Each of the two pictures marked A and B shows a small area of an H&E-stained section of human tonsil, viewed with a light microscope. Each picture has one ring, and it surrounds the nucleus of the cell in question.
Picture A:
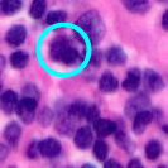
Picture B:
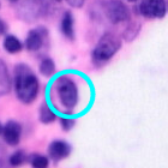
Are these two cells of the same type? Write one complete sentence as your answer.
Yes, both are proliferating B cells.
